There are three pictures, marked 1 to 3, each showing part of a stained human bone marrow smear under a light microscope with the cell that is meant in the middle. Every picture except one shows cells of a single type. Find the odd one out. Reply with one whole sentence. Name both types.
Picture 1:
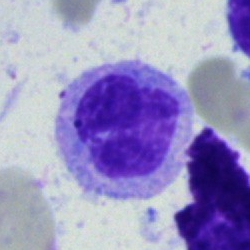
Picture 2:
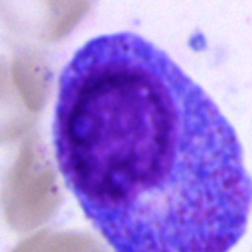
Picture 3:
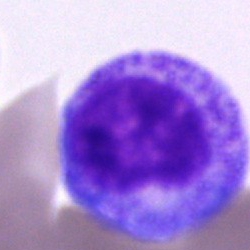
Picture 1 differs, because its cell is a monocyte and the rest are promyelocytes.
